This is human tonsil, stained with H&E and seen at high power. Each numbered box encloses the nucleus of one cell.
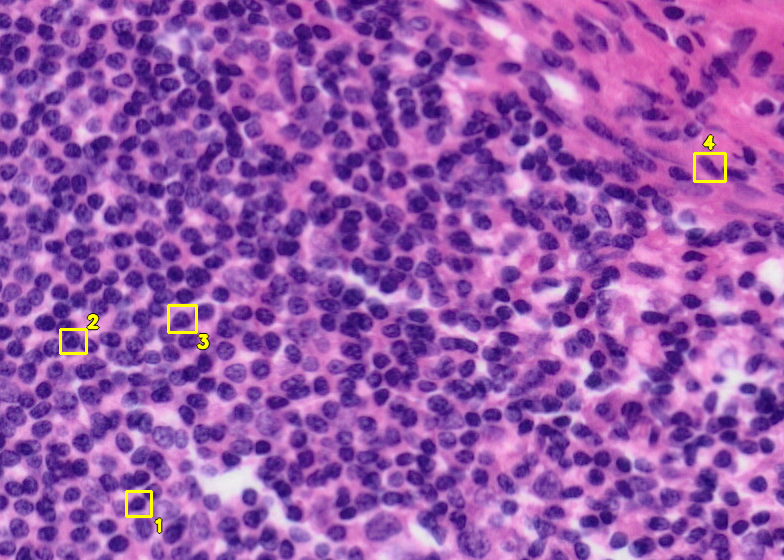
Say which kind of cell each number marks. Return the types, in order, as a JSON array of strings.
["small lymphocyte", "small lymphocyte", "small lymphocyte", "endothelial cell"]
